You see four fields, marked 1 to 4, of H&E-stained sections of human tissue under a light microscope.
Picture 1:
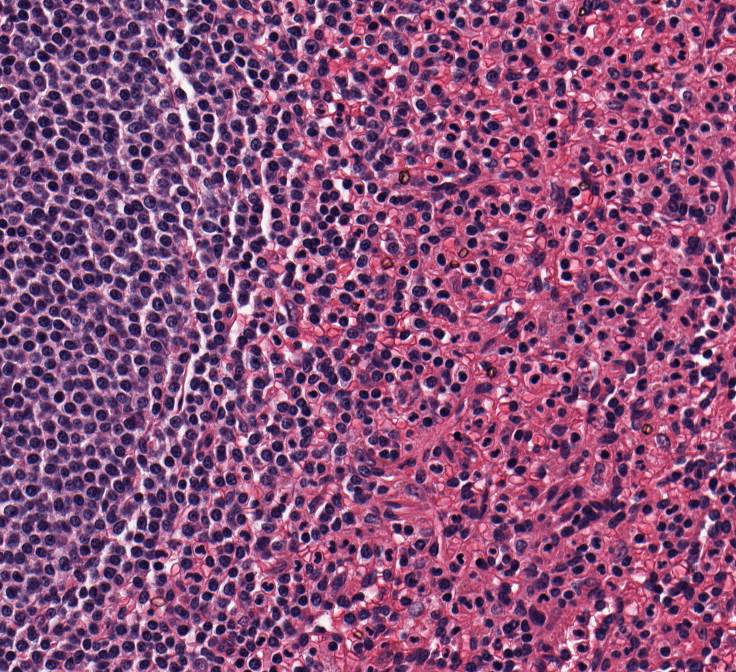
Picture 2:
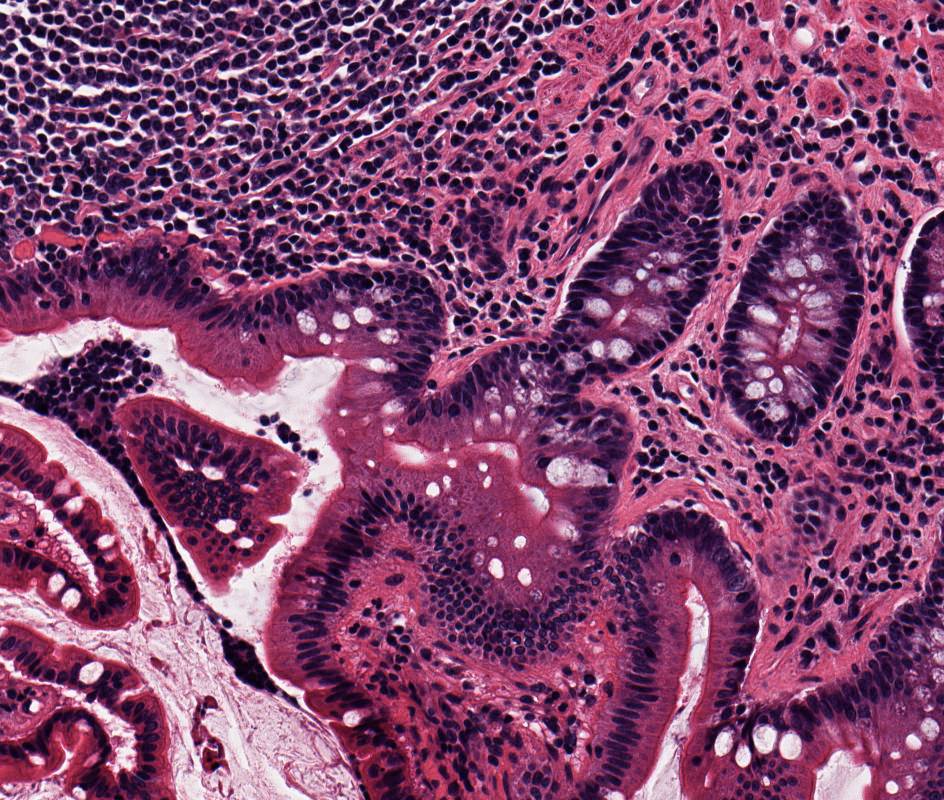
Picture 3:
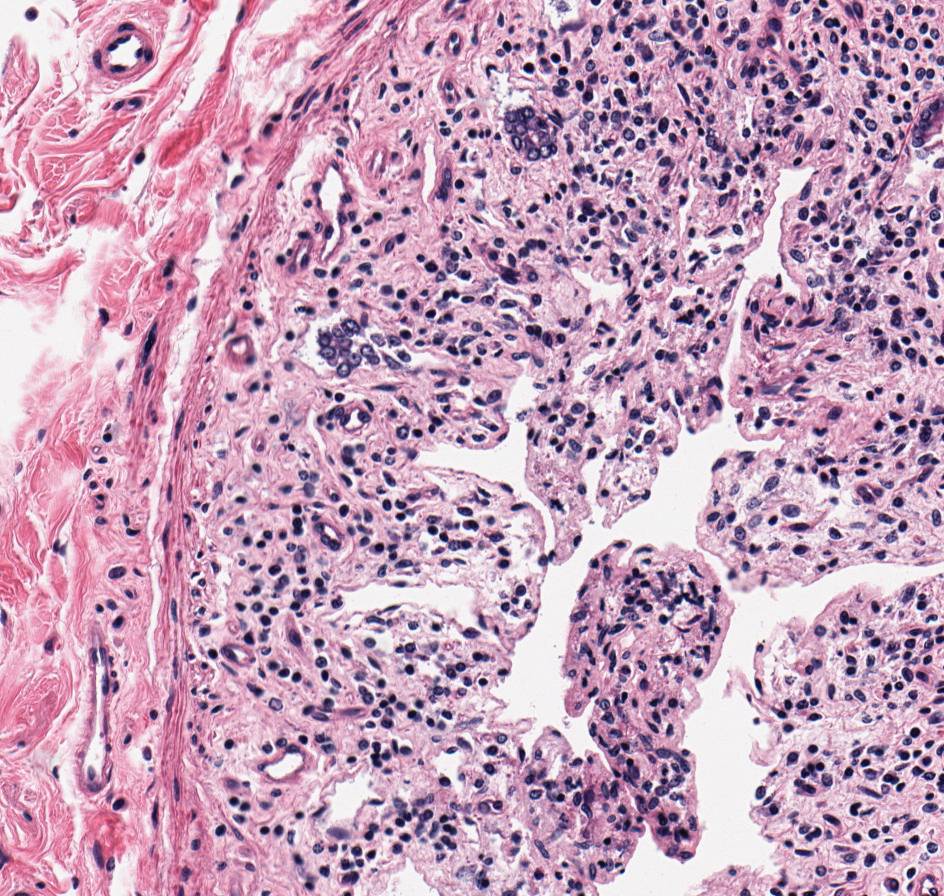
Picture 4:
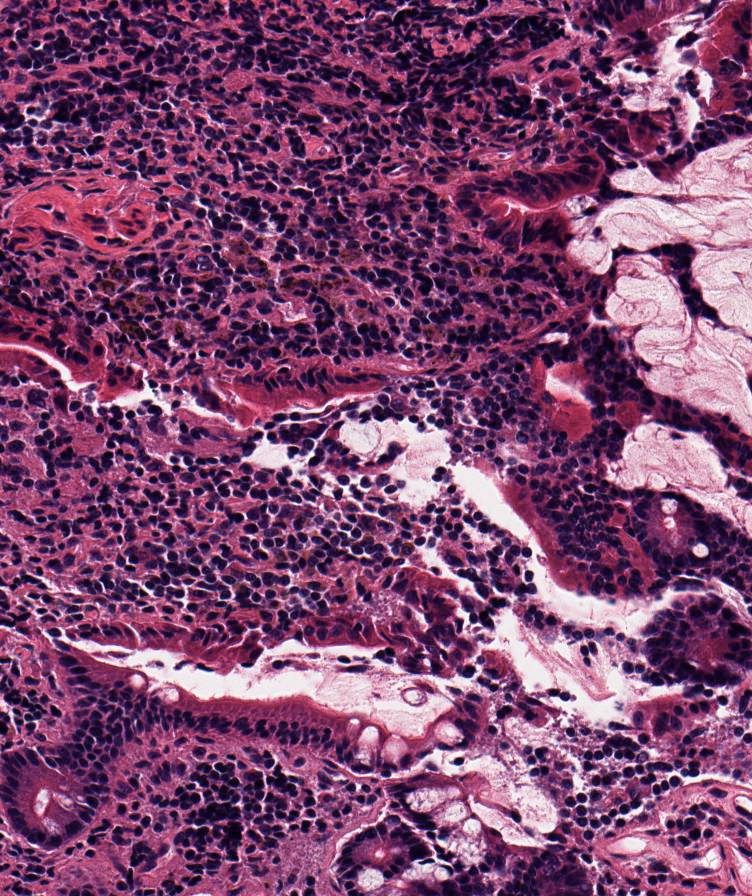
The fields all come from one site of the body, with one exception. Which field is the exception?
1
